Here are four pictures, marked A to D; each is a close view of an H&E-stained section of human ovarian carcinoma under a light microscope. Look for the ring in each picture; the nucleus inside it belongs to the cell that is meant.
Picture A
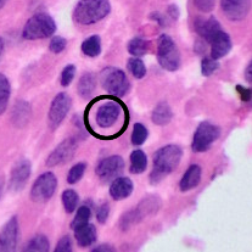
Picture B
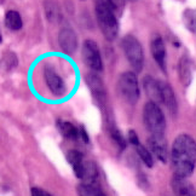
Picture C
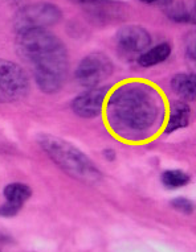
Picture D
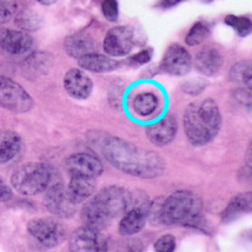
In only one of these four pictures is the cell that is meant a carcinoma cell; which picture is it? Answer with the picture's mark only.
C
